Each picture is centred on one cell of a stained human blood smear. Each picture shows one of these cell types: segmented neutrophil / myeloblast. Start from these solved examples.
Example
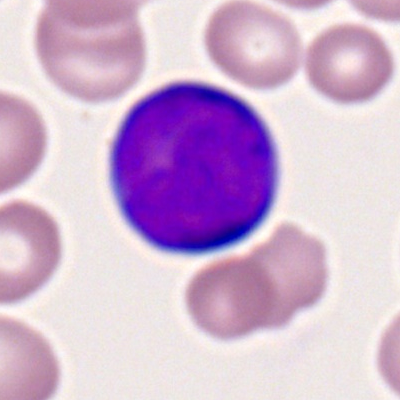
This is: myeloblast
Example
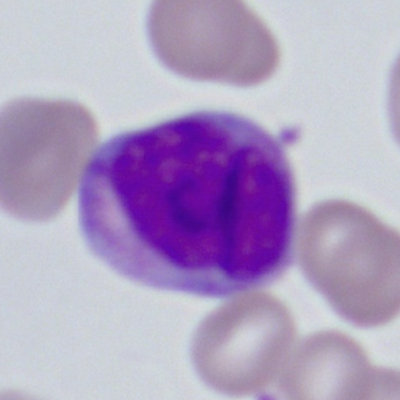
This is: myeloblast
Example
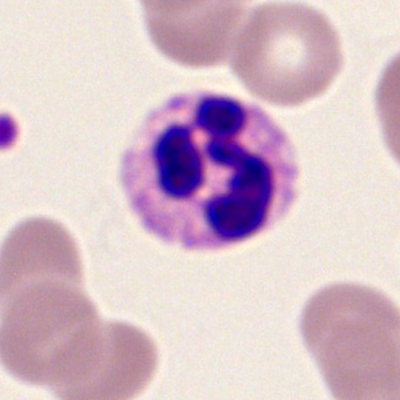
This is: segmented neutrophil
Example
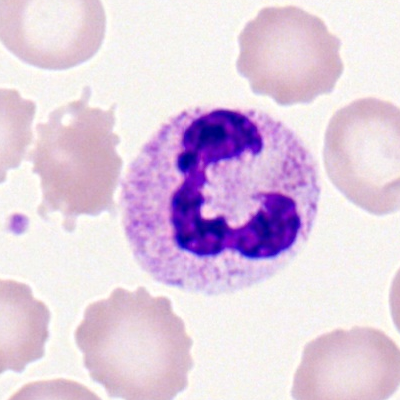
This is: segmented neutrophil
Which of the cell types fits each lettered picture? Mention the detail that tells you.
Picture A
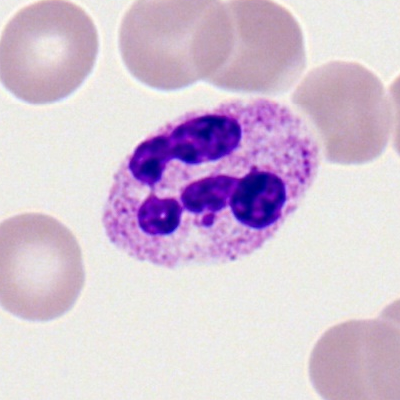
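segmented neutrophil. Reason: The nucleus is divided into several separate lobes.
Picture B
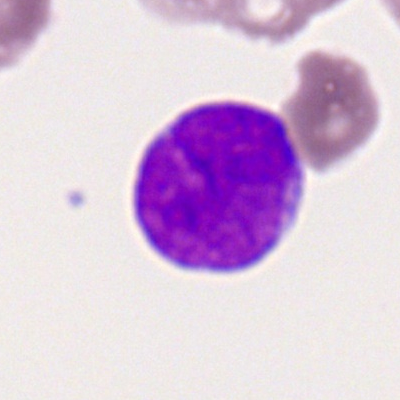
myeloblast. Reason: Cytoplasm is scant, at most a very thin rim at the edge.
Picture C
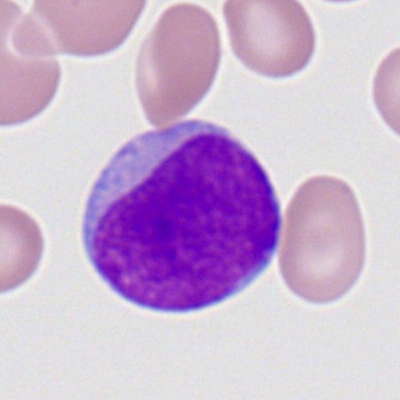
myeloblast. Reason: The nucleus fills most of the cell, leaving a crescent of cytoplasm that is widest at the upper left.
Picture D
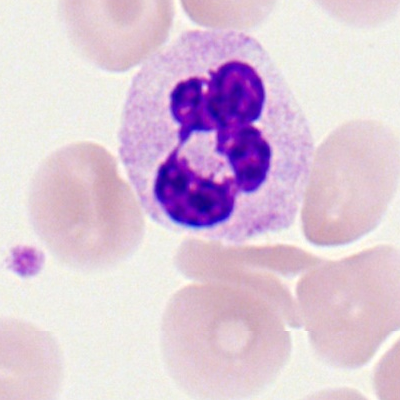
segmented neutrophil. Reason: The cytoplasm is abundant and pale pinkish-lilac.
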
